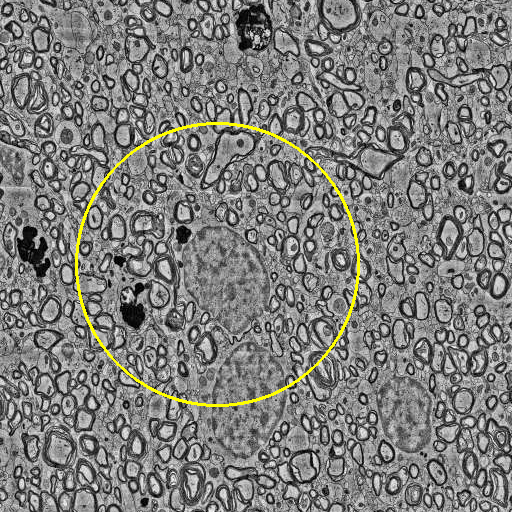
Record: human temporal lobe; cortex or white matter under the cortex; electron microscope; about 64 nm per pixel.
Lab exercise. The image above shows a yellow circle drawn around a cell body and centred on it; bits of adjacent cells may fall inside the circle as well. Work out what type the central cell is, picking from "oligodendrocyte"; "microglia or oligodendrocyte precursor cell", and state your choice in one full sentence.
In the image above, the cell at the centre of the yellow circle is an oligodendrocyte.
